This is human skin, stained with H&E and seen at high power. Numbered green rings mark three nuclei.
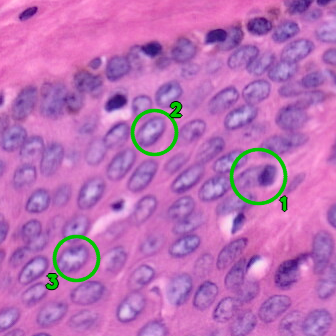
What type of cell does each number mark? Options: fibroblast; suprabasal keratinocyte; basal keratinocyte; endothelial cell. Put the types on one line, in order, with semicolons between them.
basal keratinocyte; suprabasal keratinocyte; suprabasal keratinocyte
